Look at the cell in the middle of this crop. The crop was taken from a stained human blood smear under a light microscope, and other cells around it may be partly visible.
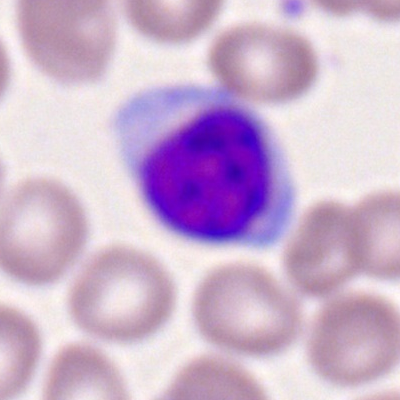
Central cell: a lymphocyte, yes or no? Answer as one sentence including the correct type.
Yes, the cell at the middle of the field is to be classed as a lymphocyte.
